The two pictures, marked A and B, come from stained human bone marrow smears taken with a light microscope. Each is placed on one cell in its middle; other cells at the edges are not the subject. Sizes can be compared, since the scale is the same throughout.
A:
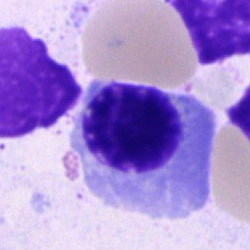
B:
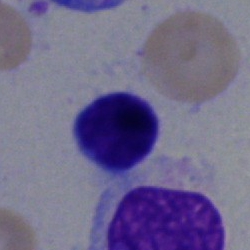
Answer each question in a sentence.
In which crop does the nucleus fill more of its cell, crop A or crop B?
The nucleus fills more of the cell in crop B than in crop A.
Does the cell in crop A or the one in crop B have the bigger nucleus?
It is the nucleus in crop A, about 1.5 times as large in area as the one in crop B.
